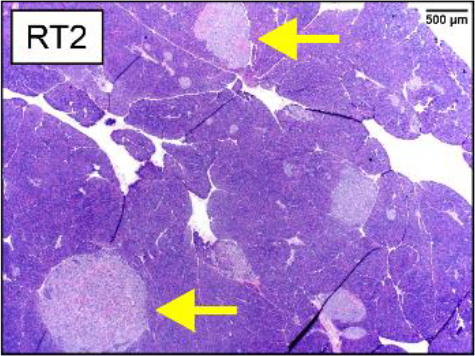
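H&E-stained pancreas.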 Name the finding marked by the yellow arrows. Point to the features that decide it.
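The arrows point to large, round, pale pink-grey masses within the purple tissue. One mass is wider than the scale bar, much larger than the other small pale patches.
Conclusion: transformed islets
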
